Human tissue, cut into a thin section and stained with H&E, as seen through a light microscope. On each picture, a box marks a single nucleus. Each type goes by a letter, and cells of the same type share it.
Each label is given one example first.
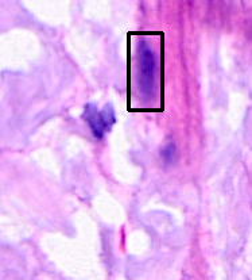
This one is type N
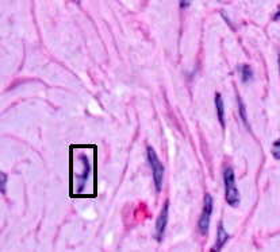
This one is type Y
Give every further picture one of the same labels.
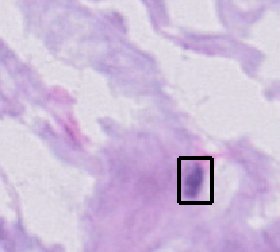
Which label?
type Y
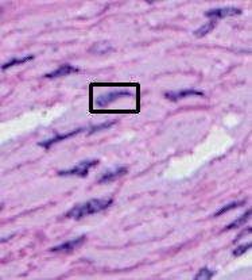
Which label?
type Y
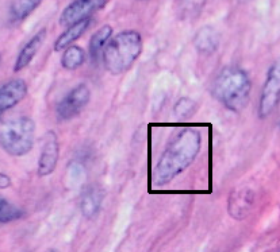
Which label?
type Y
